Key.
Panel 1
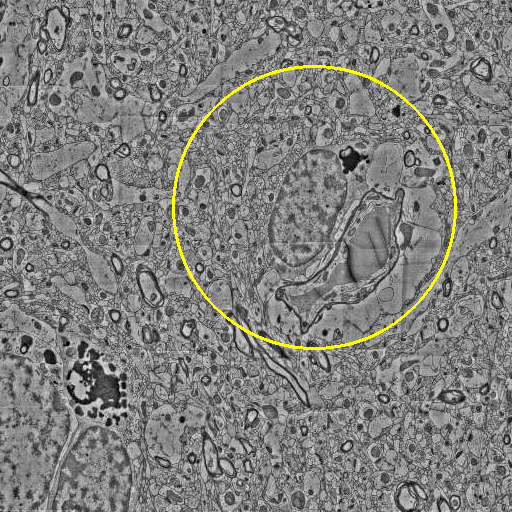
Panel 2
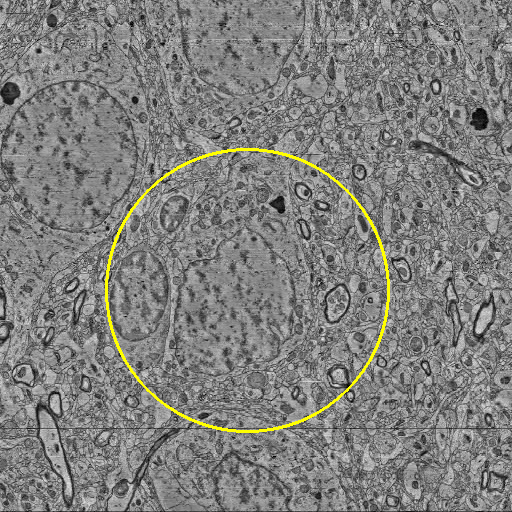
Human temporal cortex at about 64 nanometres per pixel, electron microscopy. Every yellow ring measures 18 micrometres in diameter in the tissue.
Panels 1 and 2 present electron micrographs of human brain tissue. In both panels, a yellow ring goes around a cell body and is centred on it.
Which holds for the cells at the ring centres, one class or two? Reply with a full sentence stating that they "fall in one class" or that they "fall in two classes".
Taken together, the ring-centre cells of the two panels fall in two classes.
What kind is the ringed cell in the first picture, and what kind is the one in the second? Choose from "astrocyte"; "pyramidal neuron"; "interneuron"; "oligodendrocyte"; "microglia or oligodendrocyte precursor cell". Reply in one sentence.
The first cell is an oligodendrocyte; the second is an interneuron.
